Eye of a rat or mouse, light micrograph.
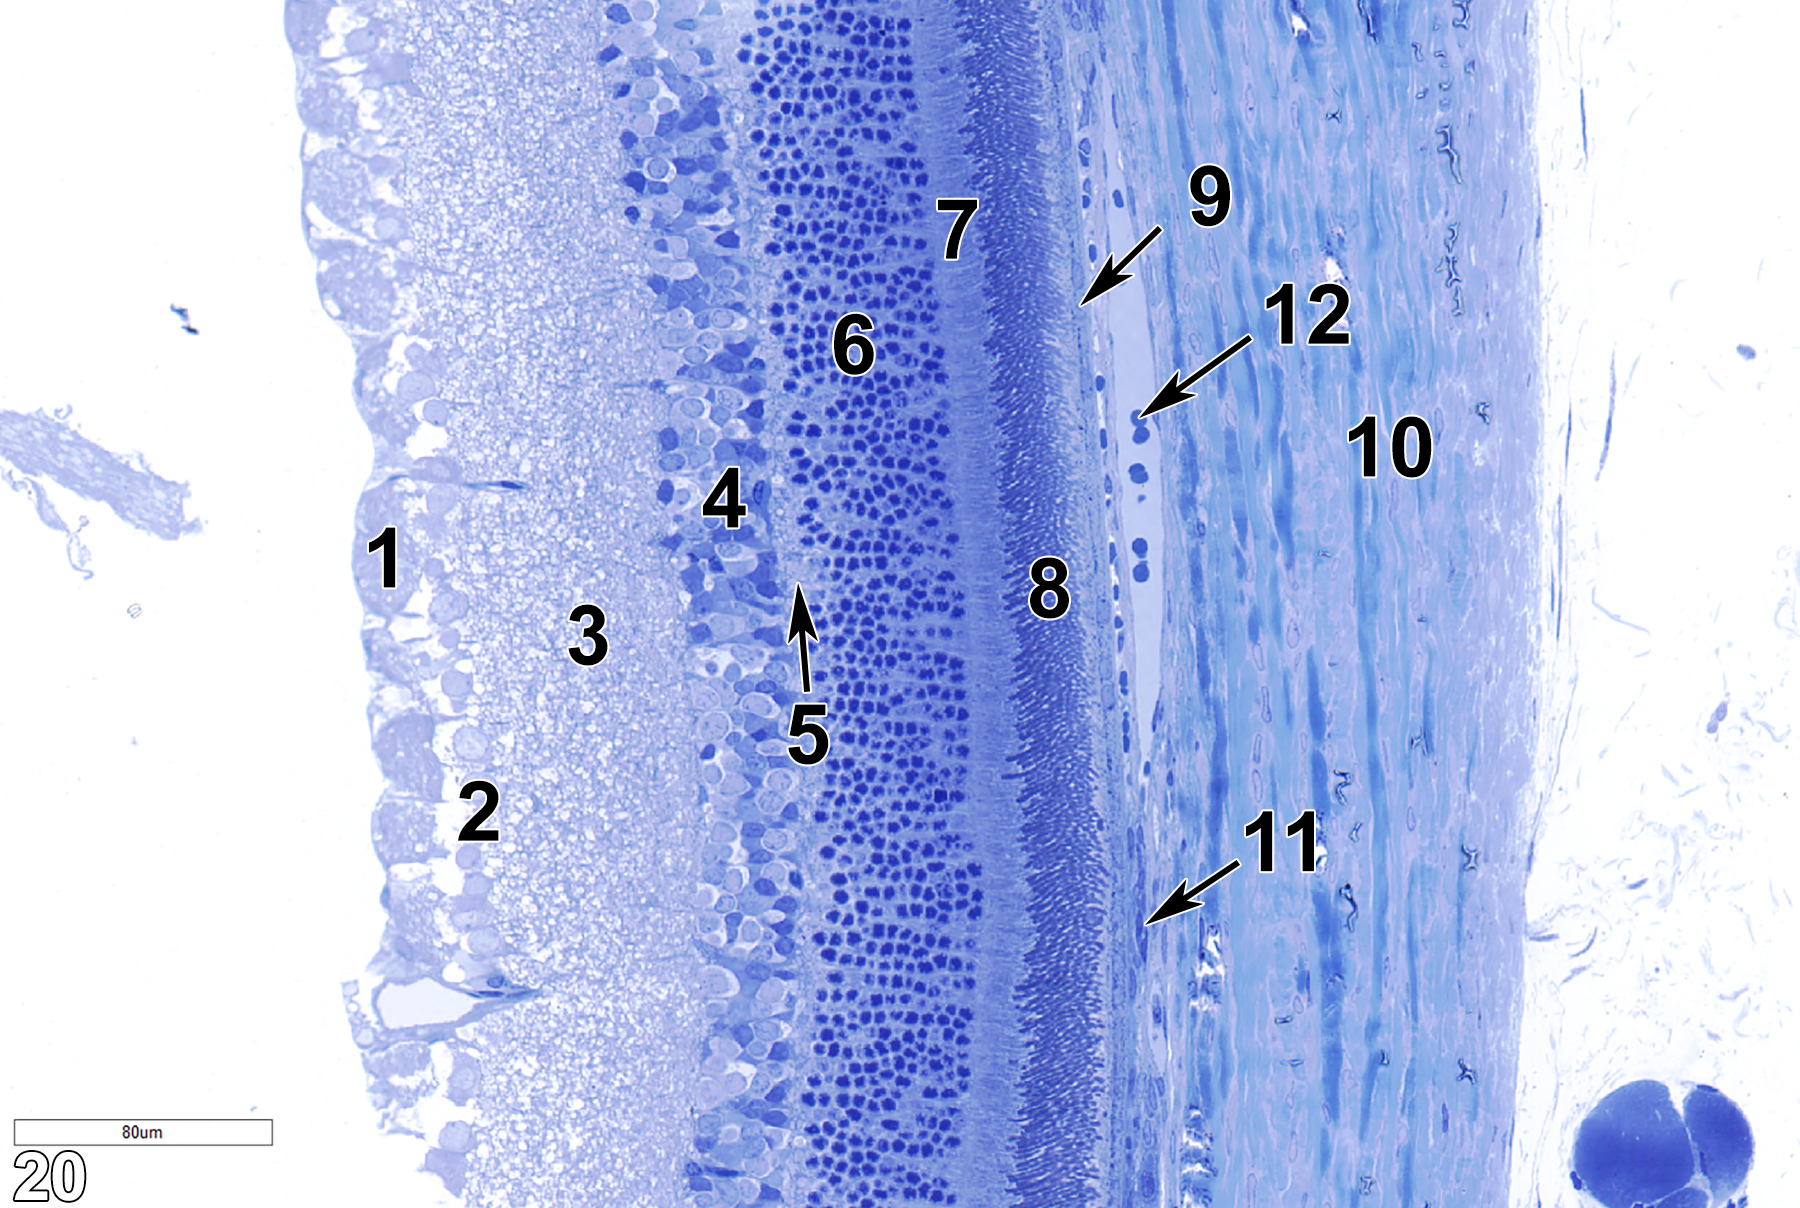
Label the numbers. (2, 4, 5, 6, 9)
2 ganglion cell layer
4 inner nuclear layer
5 outer plexiform layer
6 outer nuclear layer
9 pigmented epithelium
